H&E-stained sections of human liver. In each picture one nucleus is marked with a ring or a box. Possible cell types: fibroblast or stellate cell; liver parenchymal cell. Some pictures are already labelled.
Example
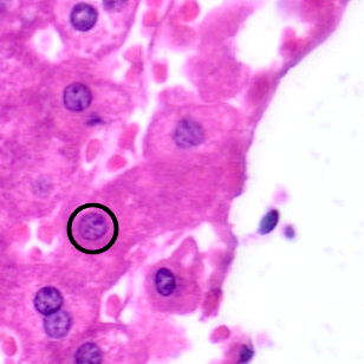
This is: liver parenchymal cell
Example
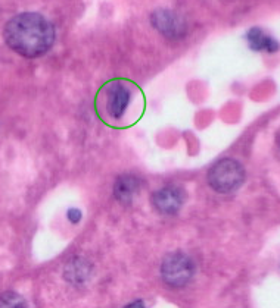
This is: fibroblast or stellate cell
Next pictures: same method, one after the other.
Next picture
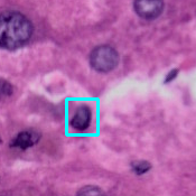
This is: fibroblast or stellate cell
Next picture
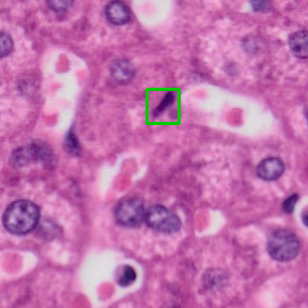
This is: fibroblast or stellate cell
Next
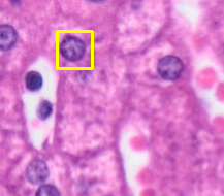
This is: liver parenchymal cell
